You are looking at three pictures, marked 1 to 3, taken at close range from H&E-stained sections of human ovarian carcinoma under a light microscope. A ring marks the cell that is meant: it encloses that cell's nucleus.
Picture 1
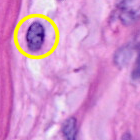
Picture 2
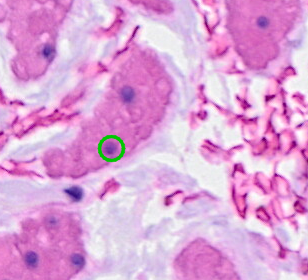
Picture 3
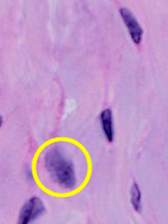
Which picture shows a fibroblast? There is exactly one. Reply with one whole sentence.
The cell in picture 3 is the fibroblast.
